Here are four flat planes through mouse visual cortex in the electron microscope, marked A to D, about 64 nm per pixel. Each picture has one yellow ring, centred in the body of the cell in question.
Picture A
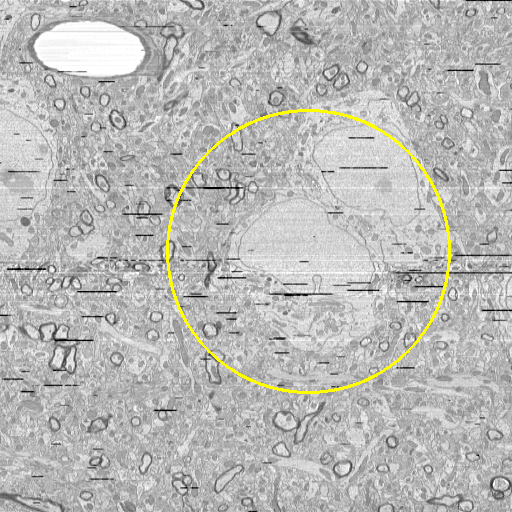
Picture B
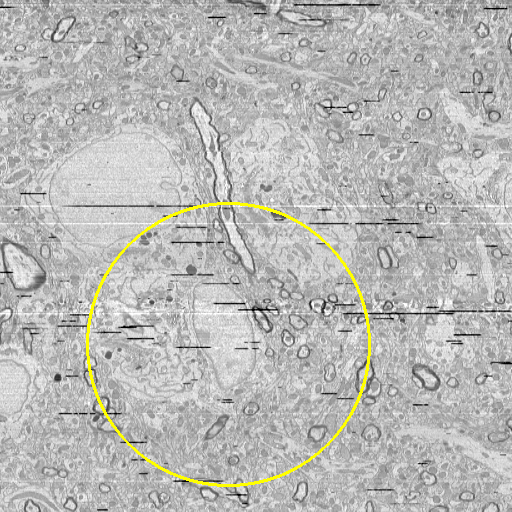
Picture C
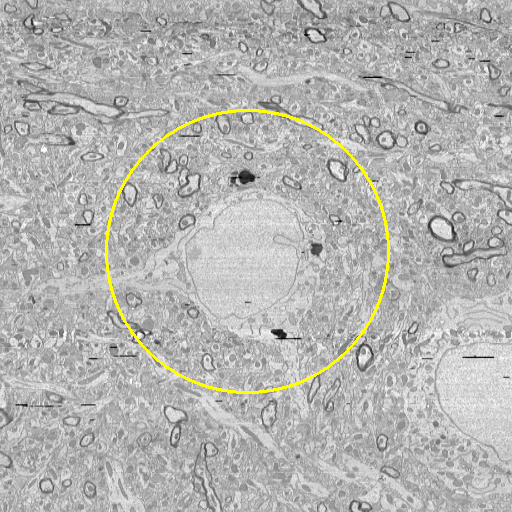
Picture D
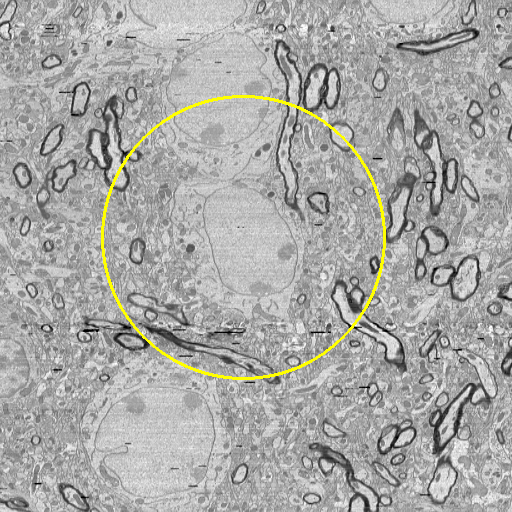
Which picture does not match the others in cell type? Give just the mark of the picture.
B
